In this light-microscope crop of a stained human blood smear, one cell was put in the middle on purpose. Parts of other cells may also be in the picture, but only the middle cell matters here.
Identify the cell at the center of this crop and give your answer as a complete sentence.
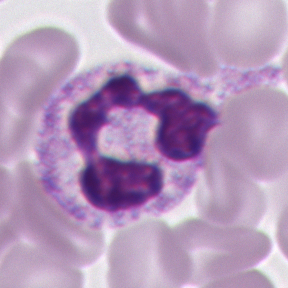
The middle position in this crop is taken by a segmented neutrophil.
